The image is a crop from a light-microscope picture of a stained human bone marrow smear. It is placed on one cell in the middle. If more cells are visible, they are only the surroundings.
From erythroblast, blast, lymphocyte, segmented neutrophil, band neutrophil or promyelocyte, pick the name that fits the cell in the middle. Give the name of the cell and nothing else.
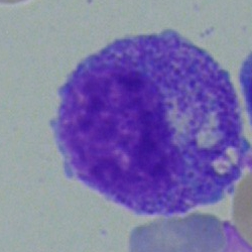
promyelocyte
